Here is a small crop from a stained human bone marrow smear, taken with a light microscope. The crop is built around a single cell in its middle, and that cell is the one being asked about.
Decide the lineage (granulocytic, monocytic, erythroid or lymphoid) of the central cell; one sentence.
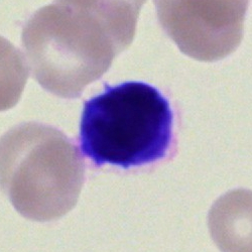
The cell occupying the middle of the crop is classified within the lymphoid lineage.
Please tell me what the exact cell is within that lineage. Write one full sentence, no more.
At the center of the crop sits a lymphocyte.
